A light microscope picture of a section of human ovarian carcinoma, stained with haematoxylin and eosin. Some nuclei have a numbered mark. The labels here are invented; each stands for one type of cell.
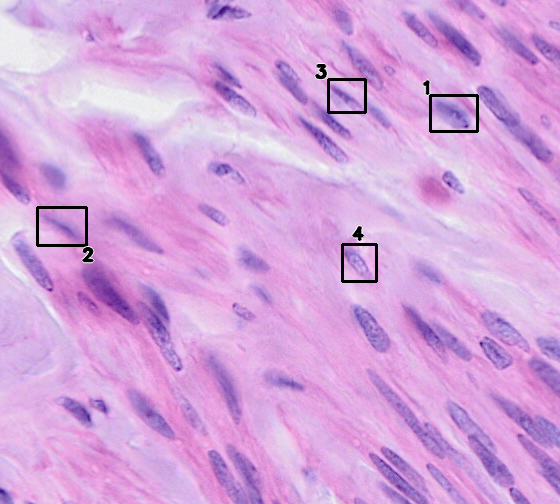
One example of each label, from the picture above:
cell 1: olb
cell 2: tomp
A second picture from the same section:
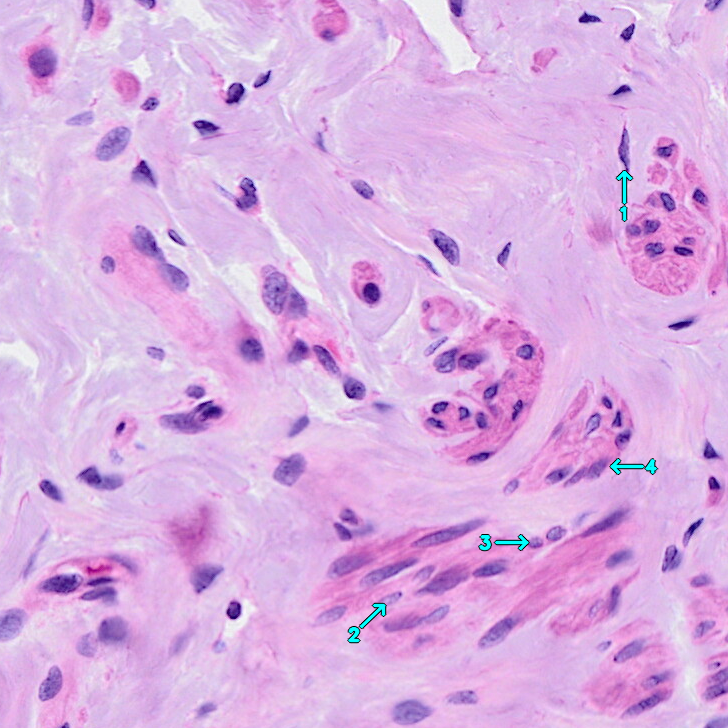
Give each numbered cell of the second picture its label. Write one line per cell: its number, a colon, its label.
1: olb
2: tomp
3: tomp
4: tomp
